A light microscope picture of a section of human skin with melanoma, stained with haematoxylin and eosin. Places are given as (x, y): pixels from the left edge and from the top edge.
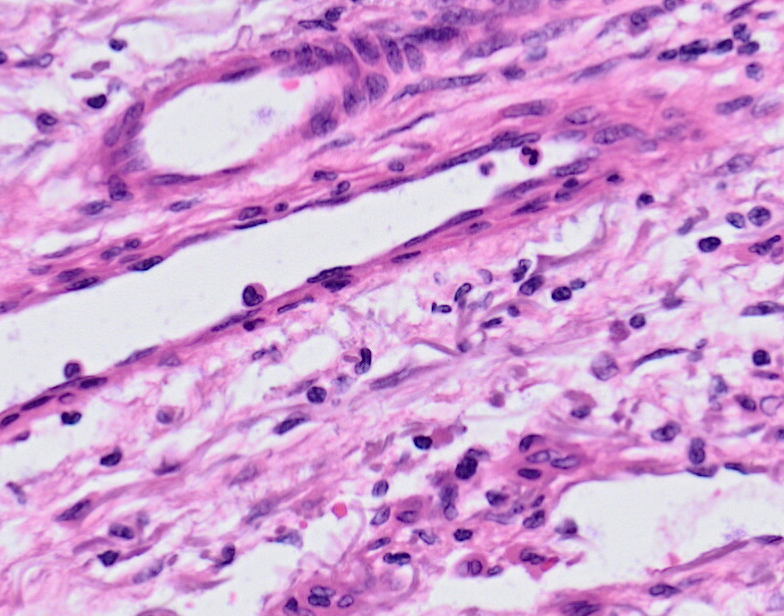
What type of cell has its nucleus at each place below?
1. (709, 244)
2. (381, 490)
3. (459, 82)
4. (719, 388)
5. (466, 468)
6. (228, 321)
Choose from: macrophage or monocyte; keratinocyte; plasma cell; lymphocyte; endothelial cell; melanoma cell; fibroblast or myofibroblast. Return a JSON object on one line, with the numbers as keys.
{"1": "lymphocyte", "2": "lymphocyte", "3": "fibroblast or myofibroblast", "4": "fibroblast or myofibroblast", "5": "plasma cell", "6": "endothelial cell"}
